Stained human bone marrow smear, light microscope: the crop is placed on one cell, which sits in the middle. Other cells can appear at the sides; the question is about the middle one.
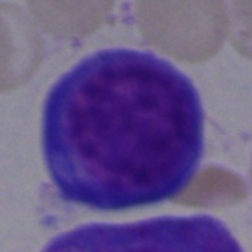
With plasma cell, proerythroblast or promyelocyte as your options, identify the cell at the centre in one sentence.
The cell in the middle of the field of view is a proerythroblast.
